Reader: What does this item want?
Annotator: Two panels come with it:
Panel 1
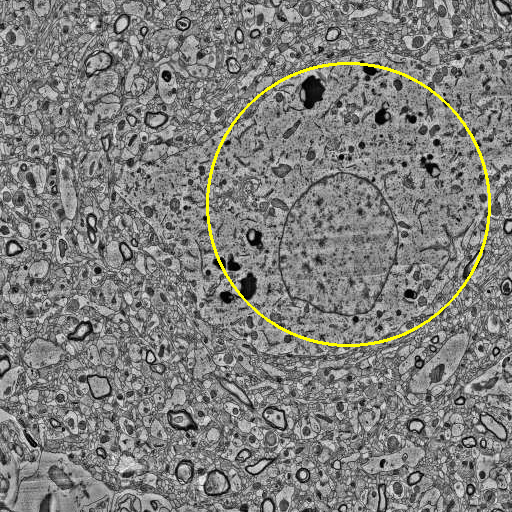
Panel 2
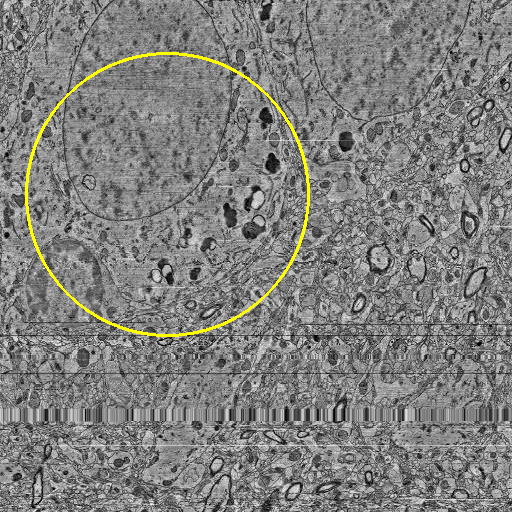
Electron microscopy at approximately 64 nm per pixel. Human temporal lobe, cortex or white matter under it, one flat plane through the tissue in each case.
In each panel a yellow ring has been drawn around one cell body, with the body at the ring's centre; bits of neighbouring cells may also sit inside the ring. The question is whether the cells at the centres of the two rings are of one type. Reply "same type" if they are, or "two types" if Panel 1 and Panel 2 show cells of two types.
same type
